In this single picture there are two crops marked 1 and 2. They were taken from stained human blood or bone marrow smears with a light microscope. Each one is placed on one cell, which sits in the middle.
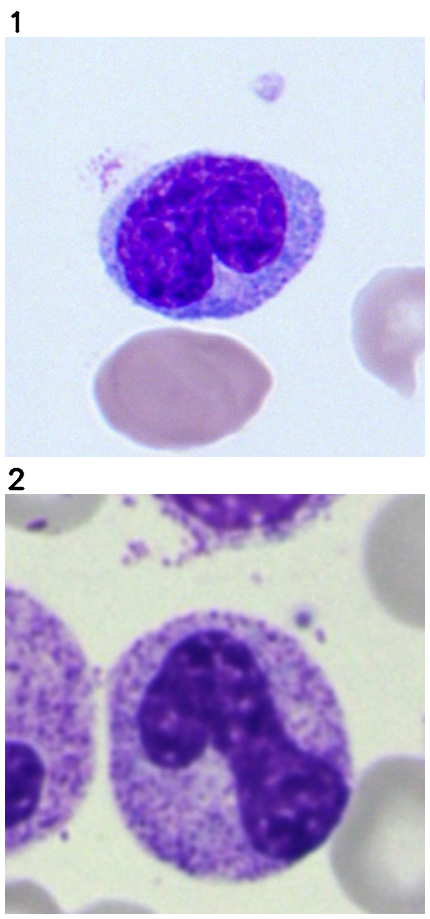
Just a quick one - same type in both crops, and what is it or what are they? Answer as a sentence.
No, crop 1 and crop 2 contain, respectively, a monocyte and a band neutrophil.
